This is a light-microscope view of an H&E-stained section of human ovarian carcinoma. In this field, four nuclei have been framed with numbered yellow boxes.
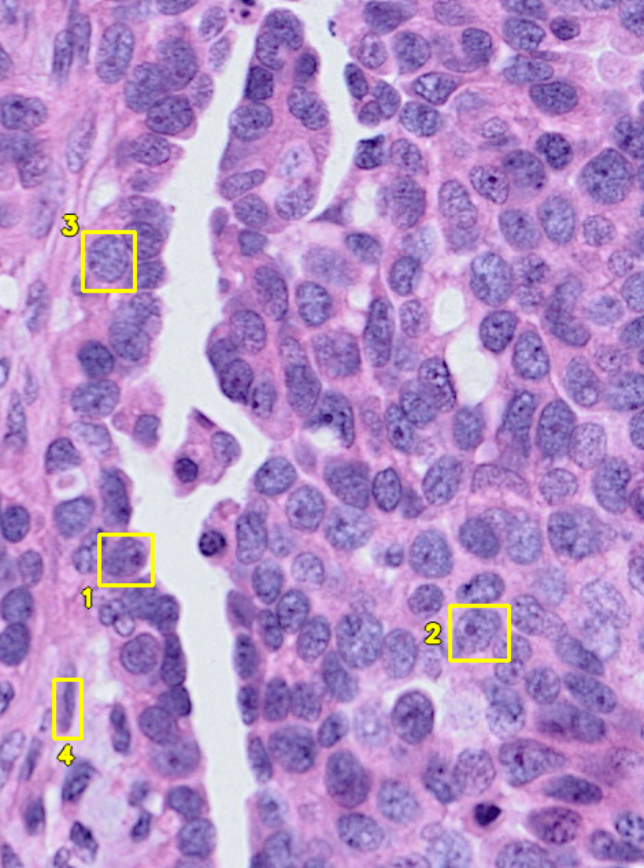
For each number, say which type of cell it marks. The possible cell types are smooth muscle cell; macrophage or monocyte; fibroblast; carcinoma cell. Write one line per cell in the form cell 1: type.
cell 1: carcinoma cell
cell 2: carcinoma cell
cell 3: carcinoma cell
cell 4: fibroblast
